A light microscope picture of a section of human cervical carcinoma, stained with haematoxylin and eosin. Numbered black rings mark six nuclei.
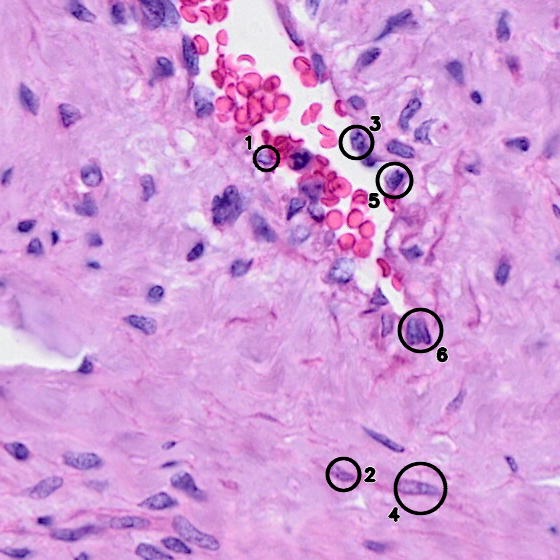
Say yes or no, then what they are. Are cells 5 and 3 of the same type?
Yes, cells 5 and 3 are both counted as endothelial cells.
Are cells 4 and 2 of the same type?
Yes, cell number 4 and cell number 2 are both smooth muscle cells.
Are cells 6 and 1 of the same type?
Yes, the numbered cells 6 and 1 are both endothelial cells.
